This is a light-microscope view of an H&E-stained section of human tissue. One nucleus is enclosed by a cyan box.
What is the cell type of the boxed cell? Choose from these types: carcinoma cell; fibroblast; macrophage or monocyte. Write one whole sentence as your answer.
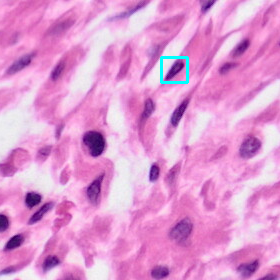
Assigned to a cell type, the boxed cell is a fibroblast.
